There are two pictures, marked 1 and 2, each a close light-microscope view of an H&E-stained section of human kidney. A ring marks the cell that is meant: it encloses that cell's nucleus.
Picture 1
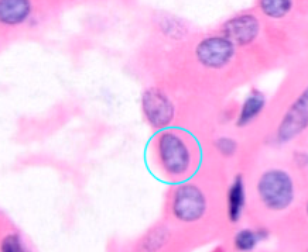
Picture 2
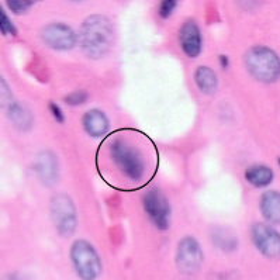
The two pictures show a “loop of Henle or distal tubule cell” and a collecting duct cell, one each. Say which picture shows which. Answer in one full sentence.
Picture 1 shows a “loop of Henle or distal tubule cell” and picture 2 shows a collecting duct cell.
